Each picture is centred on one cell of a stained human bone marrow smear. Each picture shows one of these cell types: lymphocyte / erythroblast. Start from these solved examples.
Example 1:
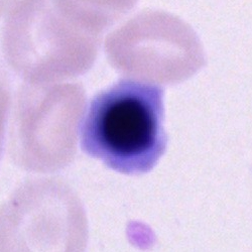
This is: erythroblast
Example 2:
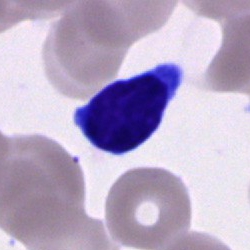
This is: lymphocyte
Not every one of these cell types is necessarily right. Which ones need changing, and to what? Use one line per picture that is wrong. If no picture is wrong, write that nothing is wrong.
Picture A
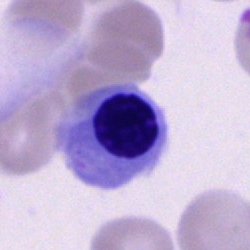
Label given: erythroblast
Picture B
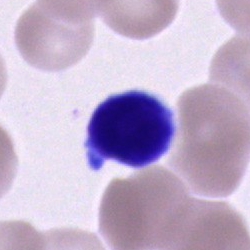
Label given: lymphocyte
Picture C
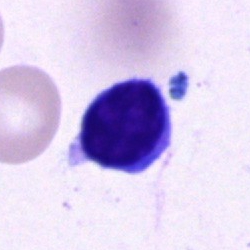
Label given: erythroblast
C should be lymphocyte, not erythroblast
